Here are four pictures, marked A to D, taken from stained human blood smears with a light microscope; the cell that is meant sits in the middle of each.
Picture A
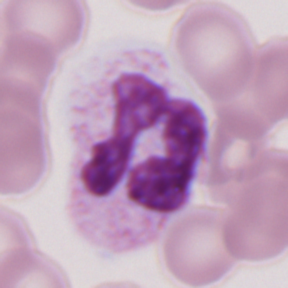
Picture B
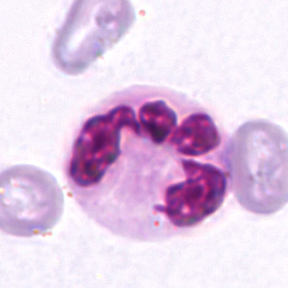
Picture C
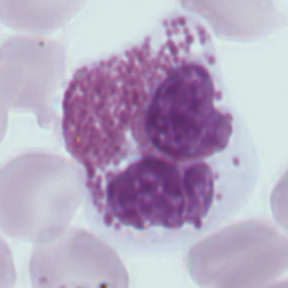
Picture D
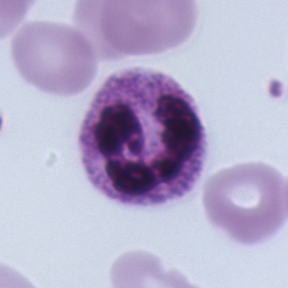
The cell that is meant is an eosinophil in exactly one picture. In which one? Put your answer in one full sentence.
Picture C shows the eosinophil.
